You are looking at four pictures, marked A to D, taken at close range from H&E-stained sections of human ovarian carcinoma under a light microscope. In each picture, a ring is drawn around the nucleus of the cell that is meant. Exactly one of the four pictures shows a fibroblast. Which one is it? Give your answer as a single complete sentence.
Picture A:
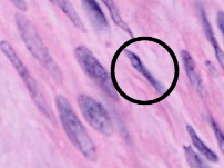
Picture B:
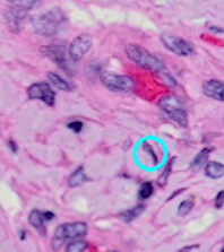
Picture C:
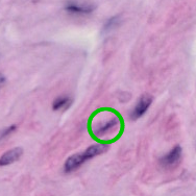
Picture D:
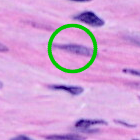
The fibroblast is the one in picture B.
